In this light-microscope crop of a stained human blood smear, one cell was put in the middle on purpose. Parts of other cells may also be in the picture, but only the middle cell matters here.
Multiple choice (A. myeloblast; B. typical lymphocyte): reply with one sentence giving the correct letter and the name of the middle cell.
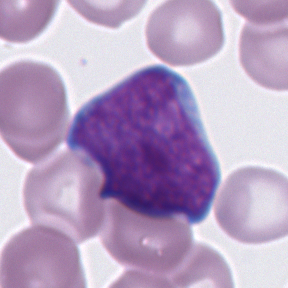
The cell right in the middle is a myeloblast, so option A is the one.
